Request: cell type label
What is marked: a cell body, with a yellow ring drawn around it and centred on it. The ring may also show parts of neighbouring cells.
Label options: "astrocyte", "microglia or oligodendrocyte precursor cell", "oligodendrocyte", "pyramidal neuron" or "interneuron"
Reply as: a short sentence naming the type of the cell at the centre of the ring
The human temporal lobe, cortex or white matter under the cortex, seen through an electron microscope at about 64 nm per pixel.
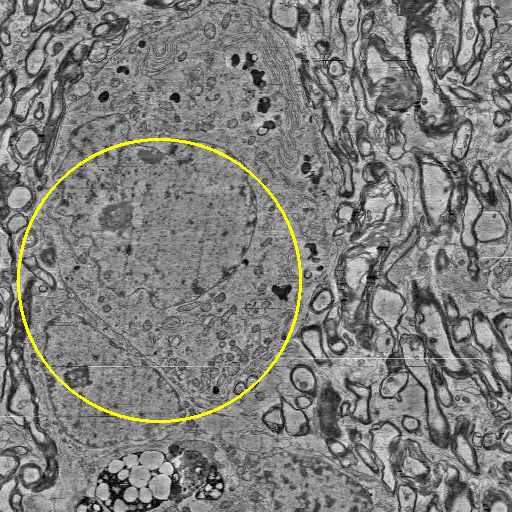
The marked cell body is that of an interneuron.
